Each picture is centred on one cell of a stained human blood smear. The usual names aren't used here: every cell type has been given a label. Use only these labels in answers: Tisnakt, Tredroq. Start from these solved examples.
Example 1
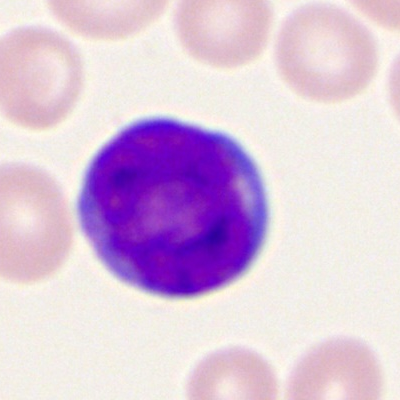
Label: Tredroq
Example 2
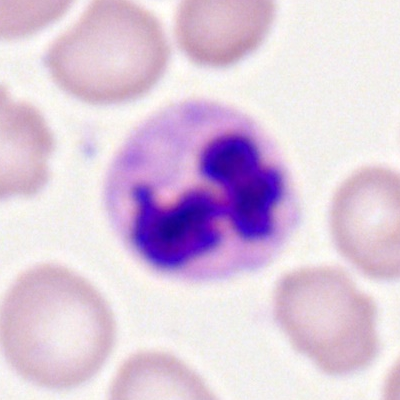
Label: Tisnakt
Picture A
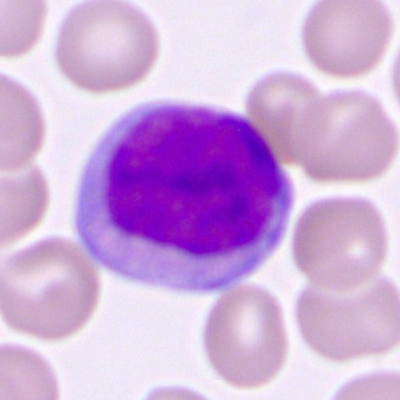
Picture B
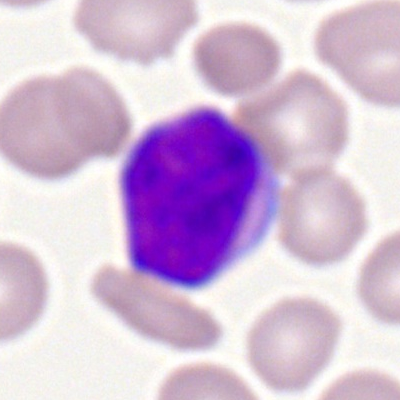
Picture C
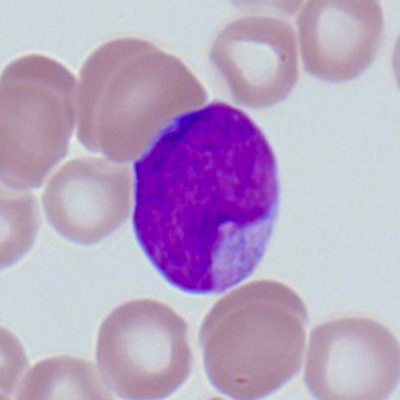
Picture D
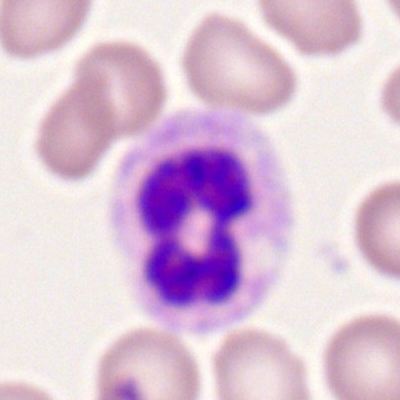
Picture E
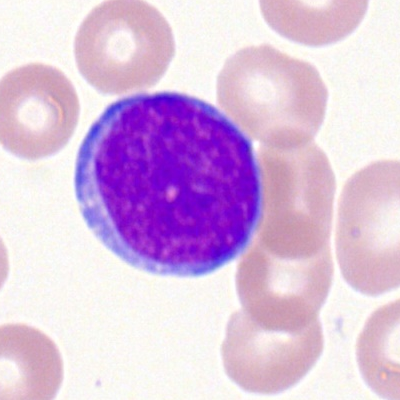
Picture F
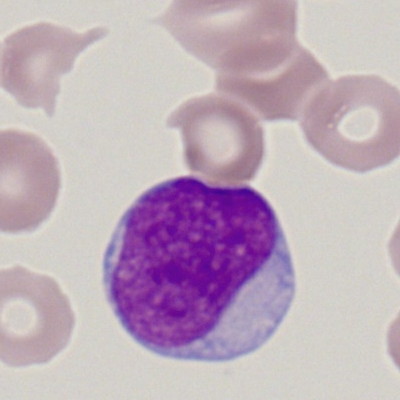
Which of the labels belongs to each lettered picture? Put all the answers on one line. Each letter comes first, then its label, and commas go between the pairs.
A Tredroq, B Tredroq, C Tredroq, D Tisnakt, E Tredroq, F Tredroq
